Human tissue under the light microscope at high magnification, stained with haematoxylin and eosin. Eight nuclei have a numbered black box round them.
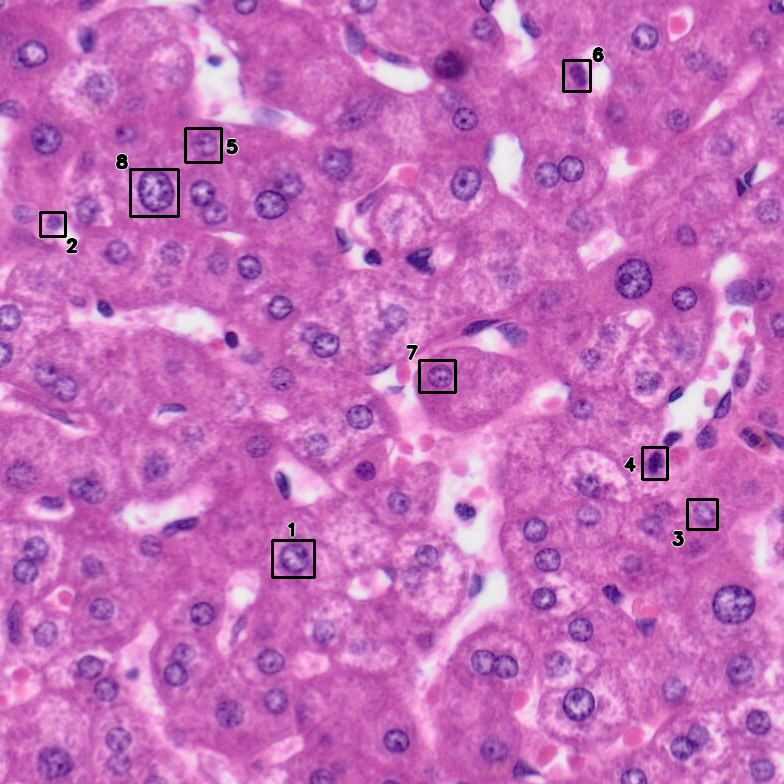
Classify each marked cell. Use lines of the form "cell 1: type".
cell 1: hepatocyte
cell 2: lymphocyte
cell 3: hepatocyte
cell 4: fibroblast or stellate cell
cell 5: hepatocyte
cell 6: Kupffer cell
cell 7: hepatocyte
cell 8: hepatocyte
